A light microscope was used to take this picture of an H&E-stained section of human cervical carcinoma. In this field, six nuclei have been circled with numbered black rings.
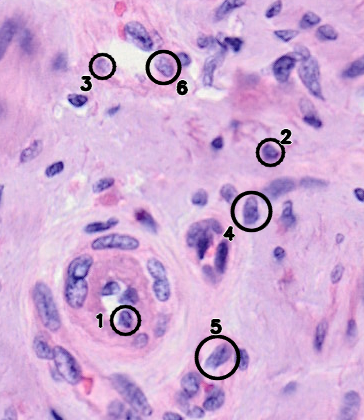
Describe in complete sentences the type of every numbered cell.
Cells 1, 3, 5 and 6 are endothelial cells. Cell 2 is a smooth muscle cell. Cell 4 is a fibroblast.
